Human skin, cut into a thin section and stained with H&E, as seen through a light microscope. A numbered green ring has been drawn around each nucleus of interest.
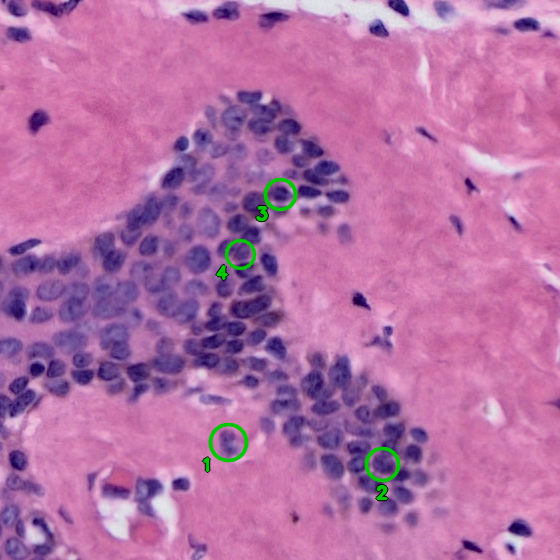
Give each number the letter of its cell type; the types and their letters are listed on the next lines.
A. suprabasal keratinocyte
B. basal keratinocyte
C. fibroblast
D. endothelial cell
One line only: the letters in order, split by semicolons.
C; B; B; B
